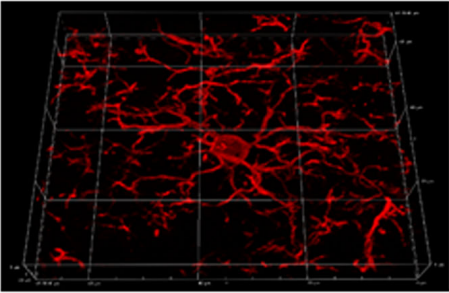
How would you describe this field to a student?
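The soma is small and rounded and lies near the centre of the volume. Long, slender processes extend from it in all directions and branch into finer twigs. The soma is not enlarged and the processes remain thin, with scattered process fragments of other cells around it.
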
